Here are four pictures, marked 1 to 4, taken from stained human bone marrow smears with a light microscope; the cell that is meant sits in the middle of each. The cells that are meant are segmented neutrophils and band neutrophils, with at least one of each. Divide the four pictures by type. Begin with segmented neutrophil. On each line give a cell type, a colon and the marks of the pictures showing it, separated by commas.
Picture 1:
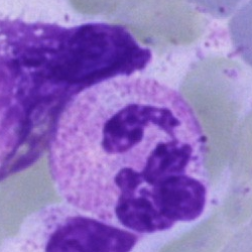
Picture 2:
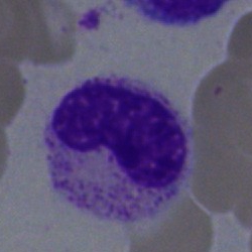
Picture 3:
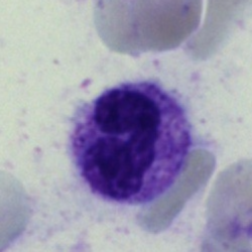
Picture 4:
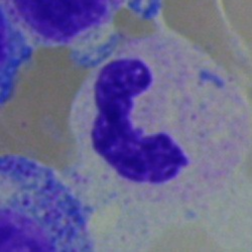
segmented neutrophil: 1, 4
band neutrophil: 2, 3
